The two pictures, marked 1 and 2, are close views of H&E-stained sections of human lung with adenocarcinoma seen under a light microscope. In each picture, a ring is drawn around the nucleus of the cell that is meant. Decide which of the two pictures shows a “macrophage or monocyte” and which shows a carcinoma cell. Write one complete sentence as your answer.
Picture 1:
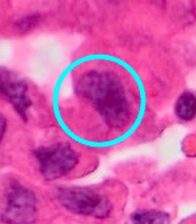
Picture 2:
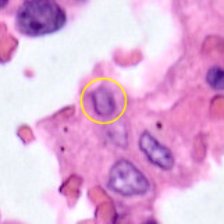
The cell in picture 1 is a carcinoma cell, and the one in picture 2 is a “macrophage or monocyte”.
